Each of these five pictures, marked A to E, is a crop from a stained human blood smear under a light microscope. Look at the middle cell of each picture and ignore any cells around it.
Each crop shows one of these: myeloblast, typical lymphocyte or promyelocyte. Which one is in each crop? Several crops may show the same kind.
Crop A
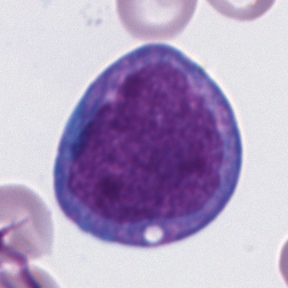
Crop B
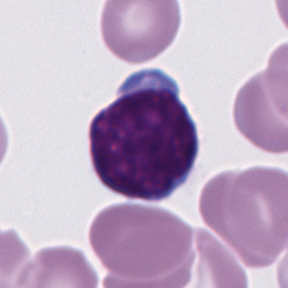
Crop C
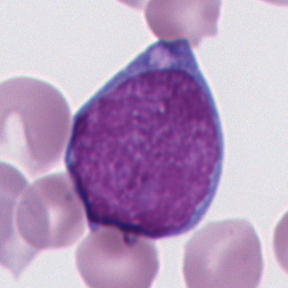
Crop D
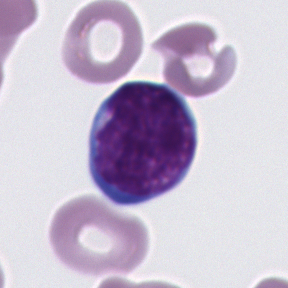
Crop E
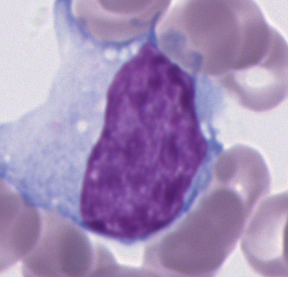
A: promyelocyte
B: myeloblast
C: myeloblast
D: typical lymphocyte
E: myeloblast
